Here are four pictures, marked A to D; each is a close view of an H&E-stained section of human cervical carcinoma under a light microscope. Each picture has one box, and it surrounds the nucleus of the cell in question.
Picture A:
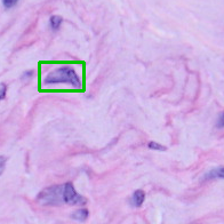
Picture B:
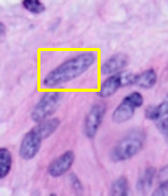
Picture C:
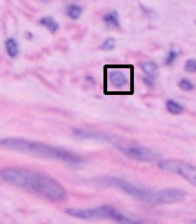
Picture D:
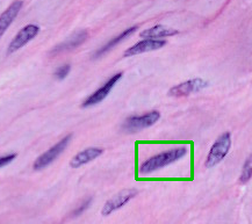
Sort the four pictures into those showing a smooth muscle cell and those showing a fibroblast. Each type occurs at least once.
A: smooth muscle cell
B: smooth muscle cell
C: smooth muscle cell
D: fibroblast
